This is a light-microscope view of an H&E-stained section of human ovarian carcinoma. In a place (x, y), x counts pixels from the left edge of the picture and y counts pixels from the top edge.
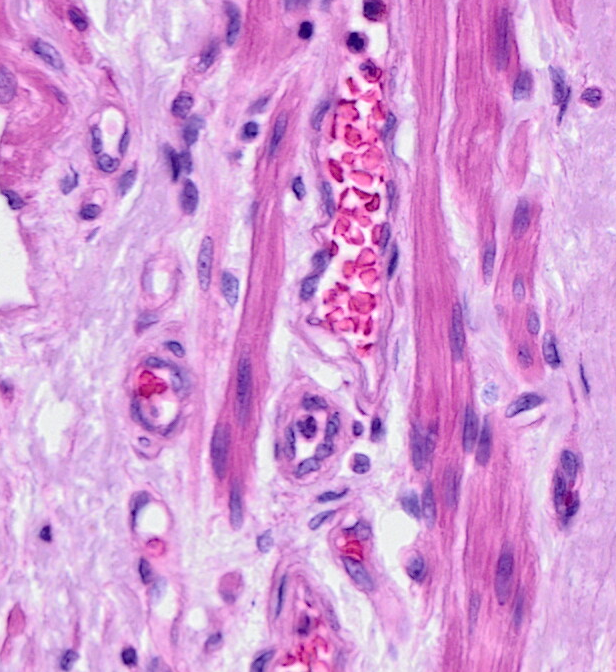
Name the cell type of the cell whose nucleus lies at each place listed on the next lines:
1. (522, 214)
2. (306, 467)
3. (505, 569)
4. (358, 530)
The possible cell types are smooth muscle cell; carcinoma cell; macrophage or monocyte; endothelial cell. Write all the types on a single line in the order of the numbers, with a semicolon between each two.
smooth muscle cell; endothelial cell; smooth muscle cell; endothelial cell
